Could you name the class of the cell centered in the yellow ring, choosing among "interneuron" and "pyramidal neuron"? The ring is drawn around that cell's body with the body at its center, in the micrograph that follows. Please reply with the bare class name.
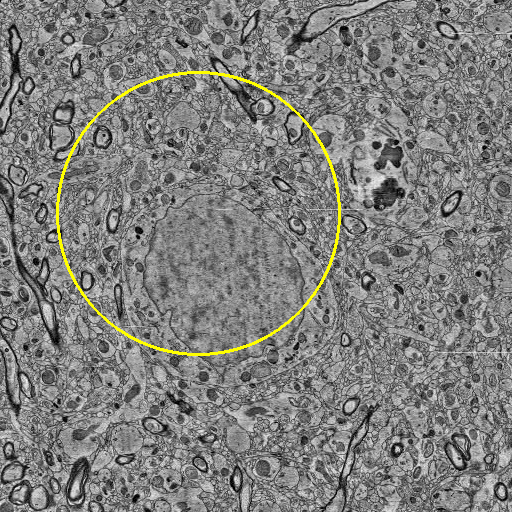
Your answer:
interneuron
